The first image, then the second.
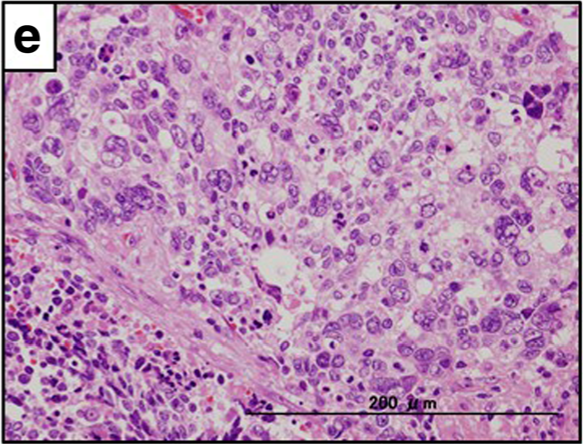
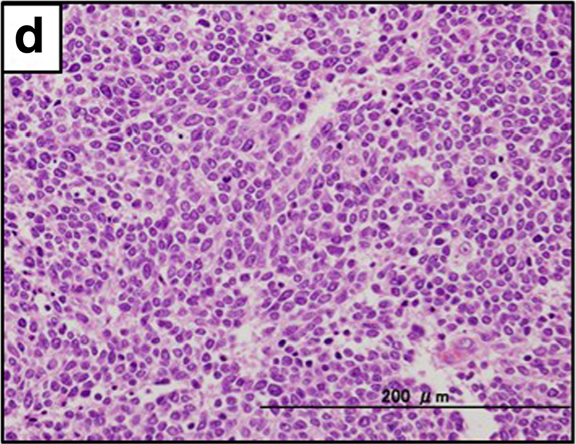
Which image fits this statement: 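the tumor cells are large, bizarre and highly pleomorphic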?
the first image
